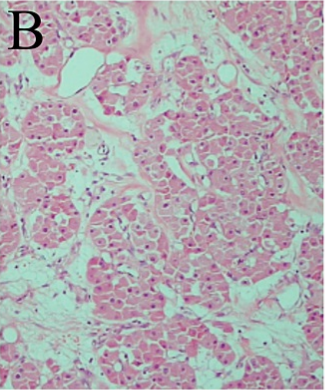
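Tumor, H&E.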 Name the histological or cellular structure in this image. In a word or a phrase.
Solid-nested architecture.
